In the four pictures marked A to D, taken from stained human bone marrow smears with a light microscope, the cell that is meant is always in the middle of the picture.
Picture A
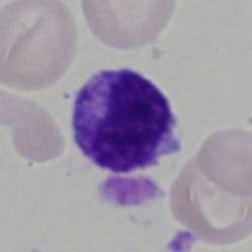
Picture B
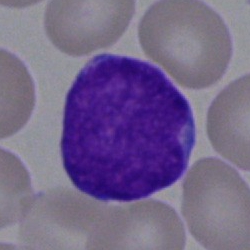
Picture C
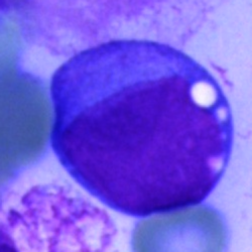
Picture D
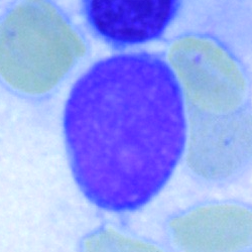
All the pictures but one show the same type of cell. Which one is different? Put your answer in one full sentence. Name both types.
Unlike the rest, which show blasts, picture A shows a myelocyte.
